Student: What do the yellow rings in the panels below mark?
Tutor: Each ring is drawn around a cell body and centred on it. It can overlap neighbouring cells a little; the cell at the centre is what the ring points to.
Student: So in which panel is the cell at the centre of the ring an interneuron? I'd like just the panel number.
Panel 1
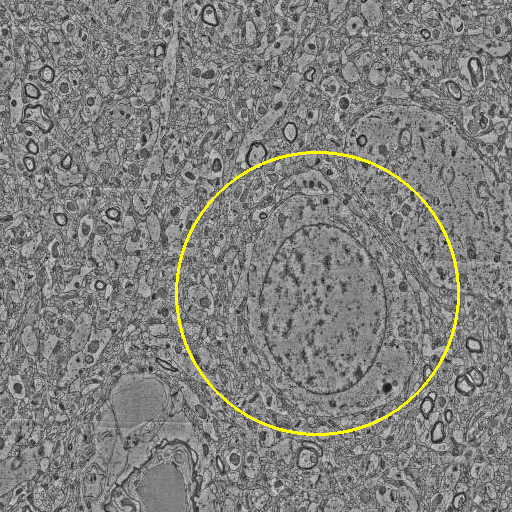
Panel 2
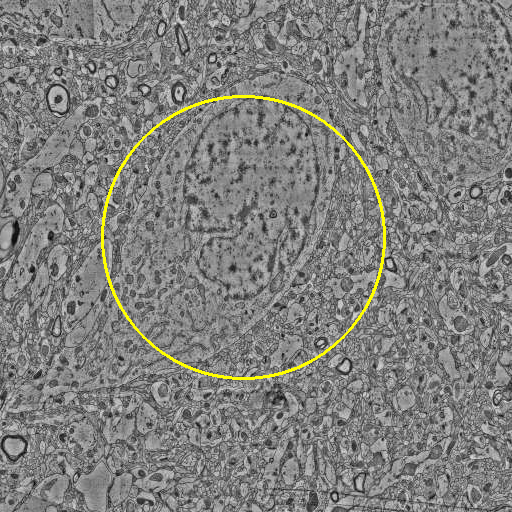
2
